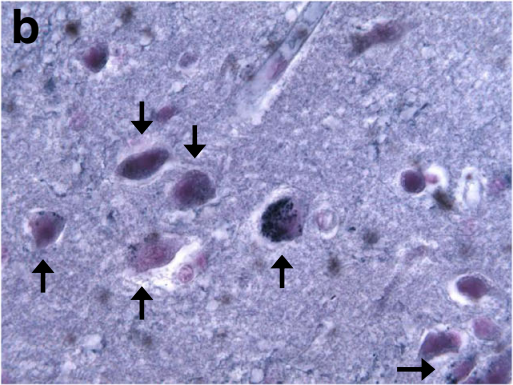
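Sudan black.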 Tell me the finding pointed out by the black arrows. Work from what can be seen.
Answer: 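The marked cell bodies are filled with dusky purple to black material. One marked cell holds coarse black granular deposits. The answer: storage material.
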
